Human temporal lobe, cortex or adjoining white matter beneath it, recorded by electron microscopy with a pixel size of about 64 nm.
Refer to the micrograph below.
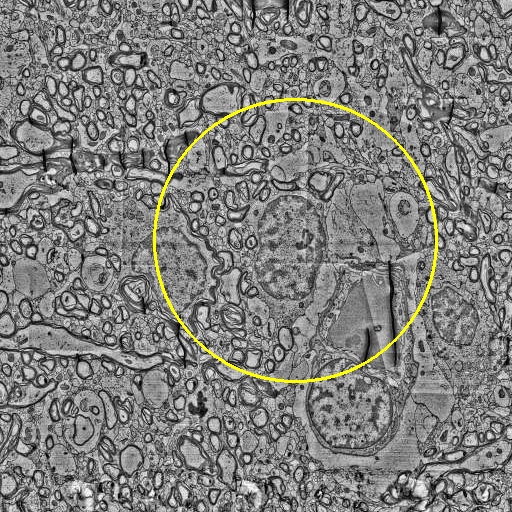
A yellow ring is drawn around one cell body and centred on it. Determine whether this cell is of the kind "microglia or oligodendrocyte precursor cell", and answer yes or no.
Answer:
no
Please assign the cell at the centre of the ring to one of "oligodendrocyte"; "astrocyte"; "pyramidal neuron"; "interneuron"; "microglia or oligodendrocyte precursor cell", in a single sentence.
Instead, the cell at the centre of the yellow ring is an oligodendrocyte.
